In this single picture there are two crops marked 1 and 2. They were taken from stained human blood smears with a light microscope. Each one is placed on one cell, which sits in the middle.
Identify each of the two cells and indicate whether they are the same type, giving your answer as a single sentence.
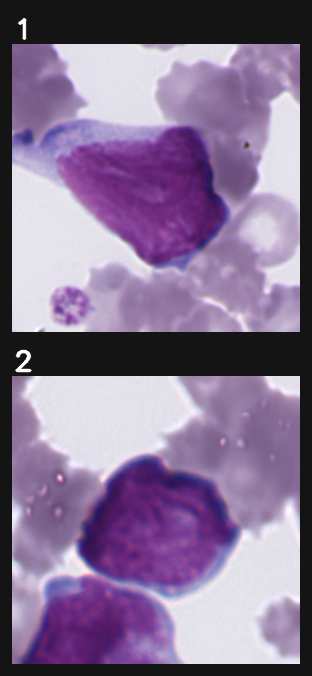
Yes, at the centre of both crops are blasts.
